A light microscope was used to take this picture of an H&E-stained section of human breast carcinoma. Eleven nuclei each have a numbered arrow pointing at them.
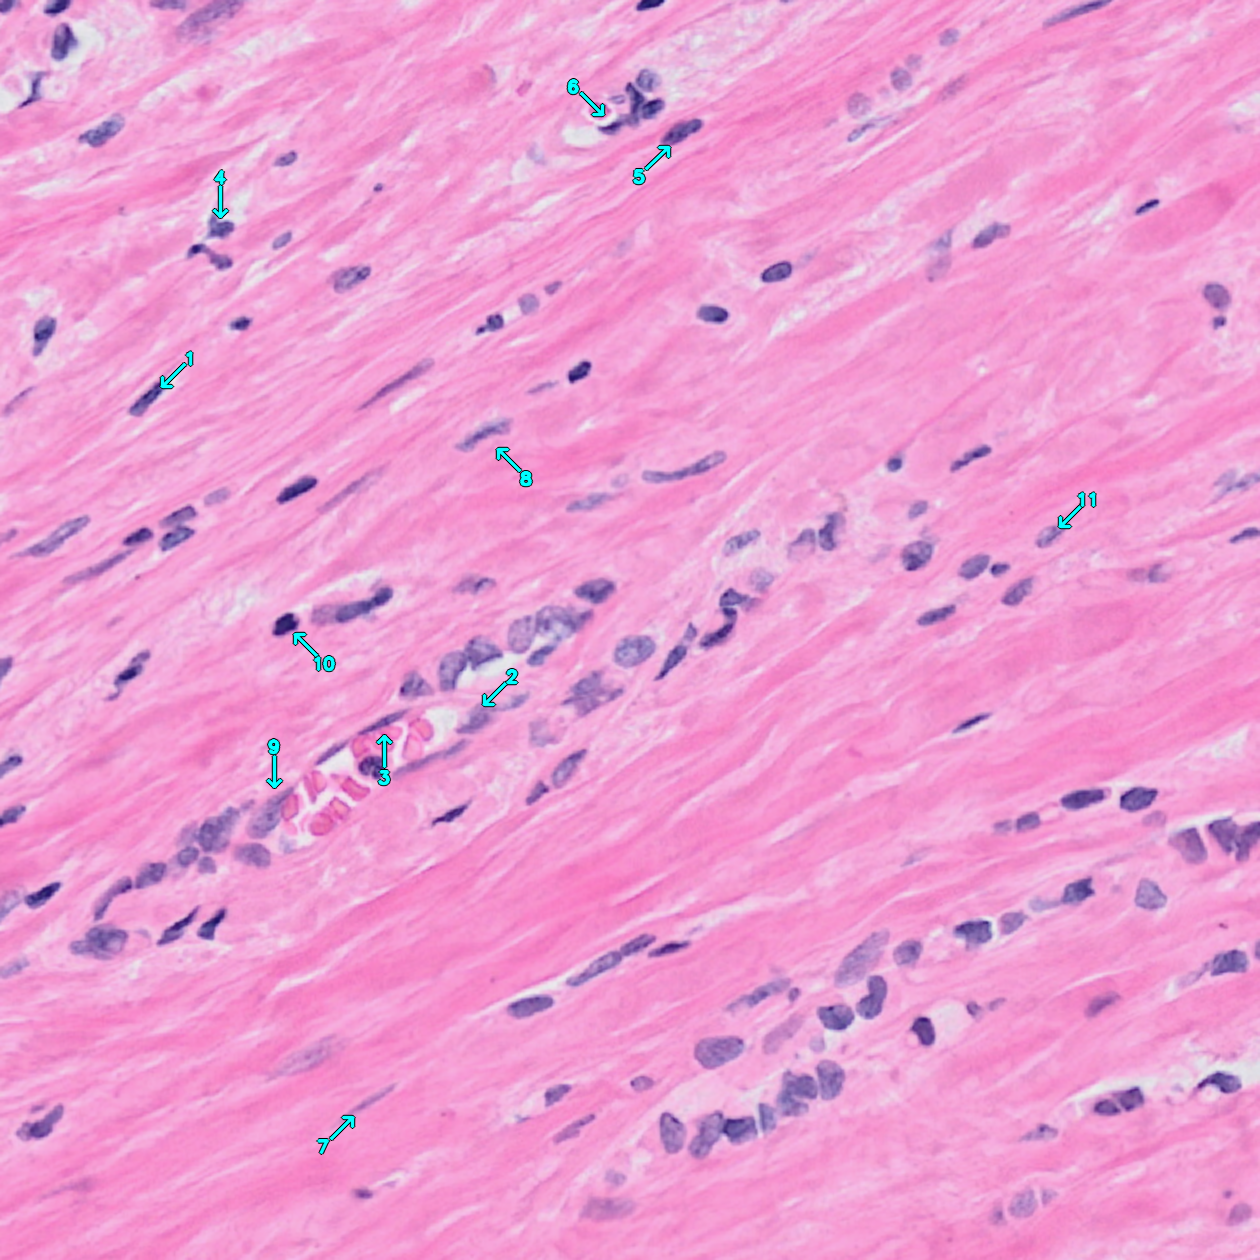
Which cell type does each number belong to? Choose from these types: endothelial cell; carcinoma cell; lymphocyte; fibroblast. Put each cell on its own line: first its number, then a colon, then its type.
1: lymphocyte
2: endothelial cell
3: endothelial cell
4: lymphocyte
5: lymphocyte
6: endothelial cell
7: fibroblast
8: fibroblast
9: endothelial cell
10: lymphocyte
11: fibroblast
